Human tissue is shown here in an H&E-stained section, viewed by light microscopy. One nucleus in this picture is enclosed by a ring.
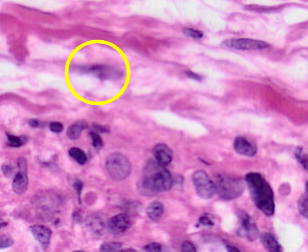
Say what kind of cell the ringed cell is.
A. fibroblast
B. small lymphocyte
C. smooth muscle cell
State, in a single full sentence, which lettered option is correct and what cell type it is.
Option A is correct in that the ringed cell is a fibroblast.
